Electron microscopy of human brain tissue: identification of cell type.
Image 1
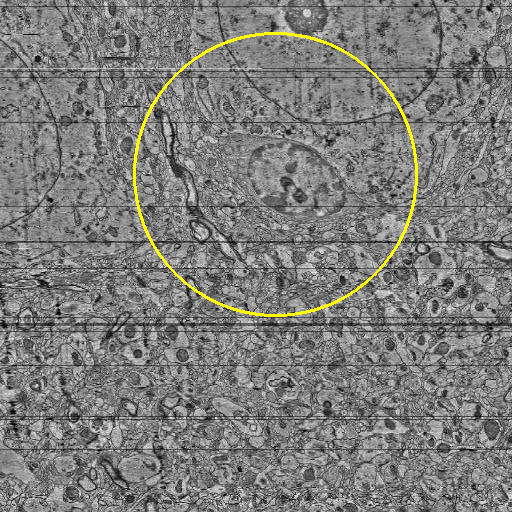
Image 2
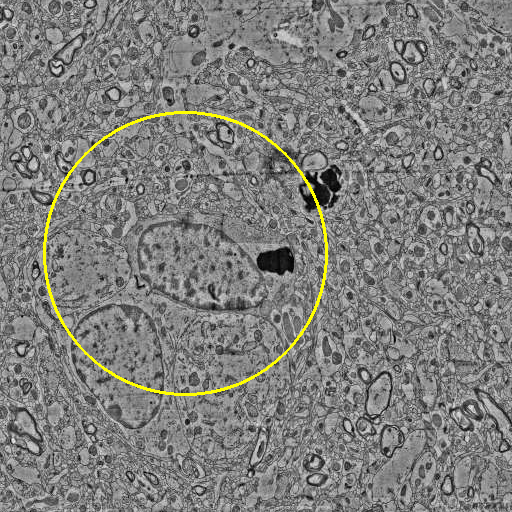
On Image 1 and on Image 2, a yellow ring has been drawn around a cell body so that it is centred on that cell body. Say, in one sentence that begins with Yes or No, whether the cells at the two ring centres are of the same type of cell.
Yes, both cells are the same type of cell.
